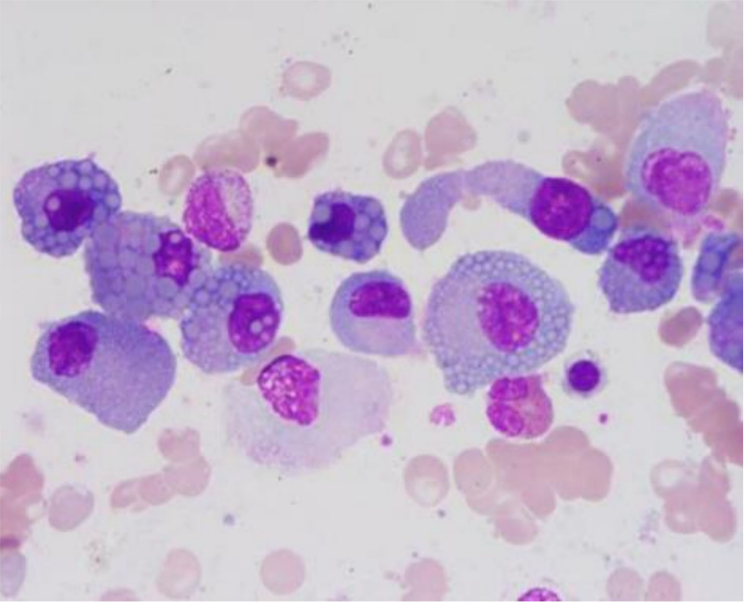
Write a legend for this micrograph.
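This bone marrow smear shows a loose group of large cells with round, often off-centre purple nuclei lying among pink red blood cells. The cytoplasm of many of these cells is blue-violet and filled with numerous round, pale globules that give it a bubbly, grape-like look. Some cells have fewer globules and a more even blue cytoplasm, and a few nuclei show coarse, clumped chromatin.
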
